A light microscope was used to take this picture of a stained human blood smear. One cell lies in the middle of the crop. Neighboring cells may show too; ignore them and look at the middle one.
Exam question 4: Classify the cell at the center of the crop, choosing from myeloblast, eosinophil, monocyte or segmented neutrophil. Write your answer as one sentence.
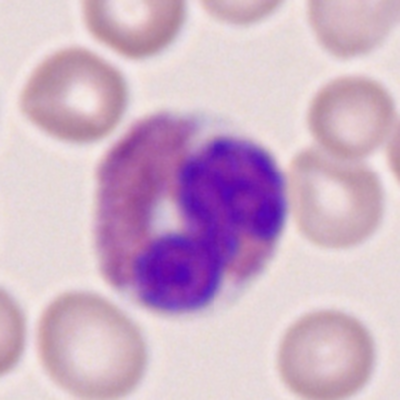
The cell positioned in the middle of the field is an eosinophil.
